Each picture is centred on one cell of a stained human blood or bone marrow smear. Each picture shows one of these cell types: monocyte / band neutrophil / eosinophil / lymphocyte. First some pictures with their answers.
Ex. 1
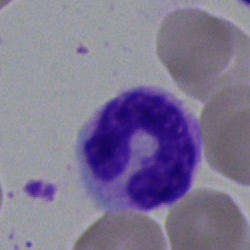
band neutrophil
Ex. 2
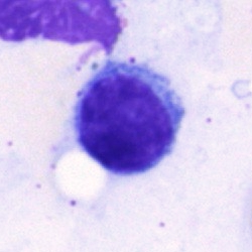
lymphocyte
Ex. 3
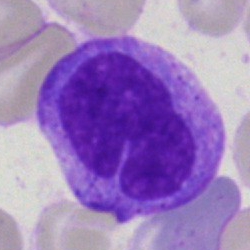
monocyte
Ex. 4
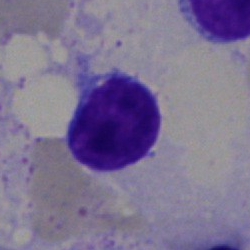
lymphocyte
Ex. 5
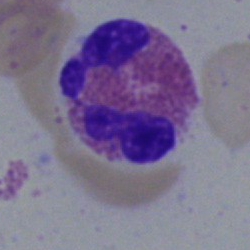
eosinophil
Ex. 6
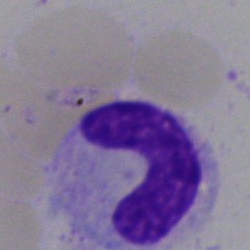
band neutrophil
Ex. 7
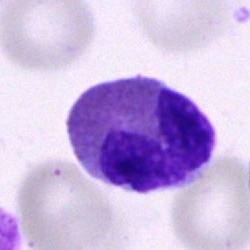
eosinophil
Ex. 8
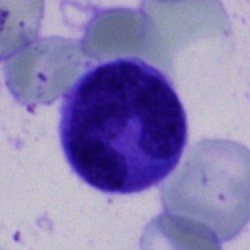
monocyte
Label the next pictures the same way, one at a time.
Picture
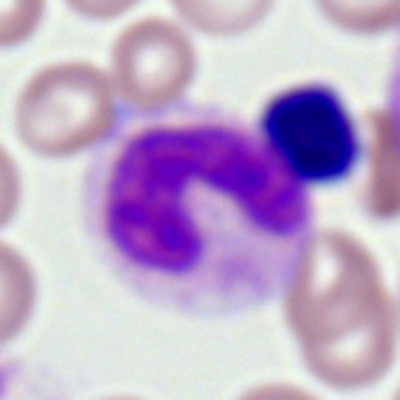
band neutrophil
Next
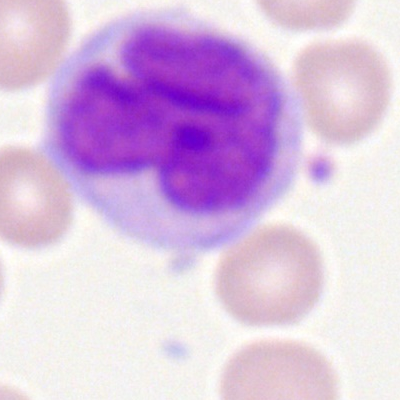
monocyte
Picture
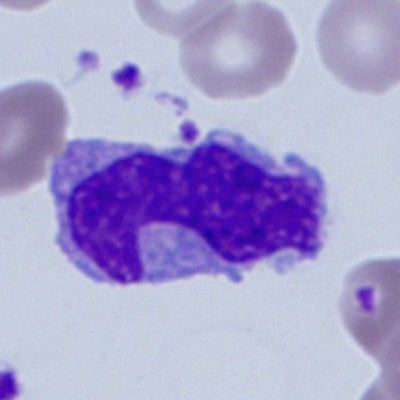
monocyte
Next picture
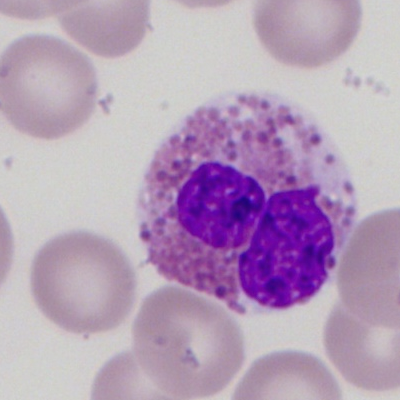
eosinophil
